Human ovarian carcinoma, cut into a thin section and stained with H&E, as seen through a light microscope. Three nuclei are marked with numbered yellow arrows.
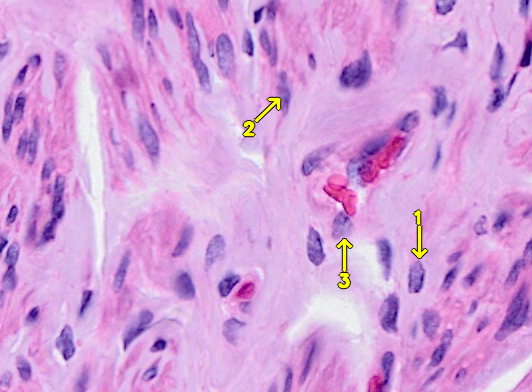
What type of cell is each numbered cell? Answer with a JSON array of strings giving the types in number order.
["fibroblast", "smooth muscle cell", "endothelial cell"]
